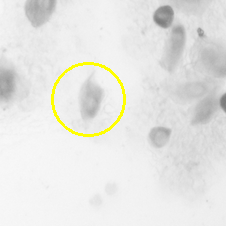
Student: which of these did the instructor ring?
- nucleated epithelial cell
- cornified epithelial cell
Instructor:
The cell I ringed is a nucleated epithelial cell.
